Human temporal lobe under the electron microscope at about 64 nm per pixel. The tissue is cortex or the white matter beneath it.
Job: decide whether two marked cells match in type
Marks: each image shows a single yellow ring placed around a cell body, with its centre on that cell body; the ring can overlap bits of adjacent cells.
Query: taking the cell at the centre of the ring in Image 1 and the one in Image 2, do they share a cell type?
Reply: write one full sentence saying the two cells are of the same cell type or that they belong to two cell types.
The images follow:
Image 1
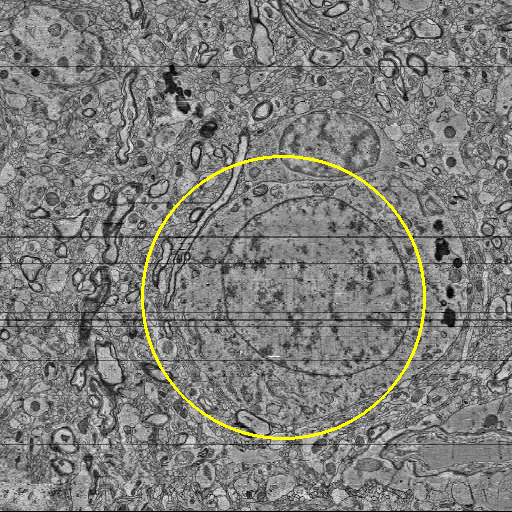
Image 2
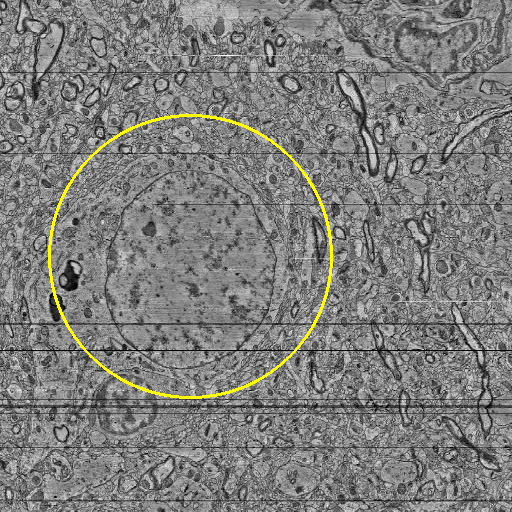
The cells at the ring centres in Image 1 and Image 2 are of the same cell type.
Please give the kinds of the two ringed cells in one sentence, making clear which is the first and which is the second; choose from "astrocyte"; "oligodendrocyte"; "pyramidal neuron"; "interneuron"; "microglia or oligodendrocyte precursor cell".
Each of the two cells is a pyramidal neuron.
